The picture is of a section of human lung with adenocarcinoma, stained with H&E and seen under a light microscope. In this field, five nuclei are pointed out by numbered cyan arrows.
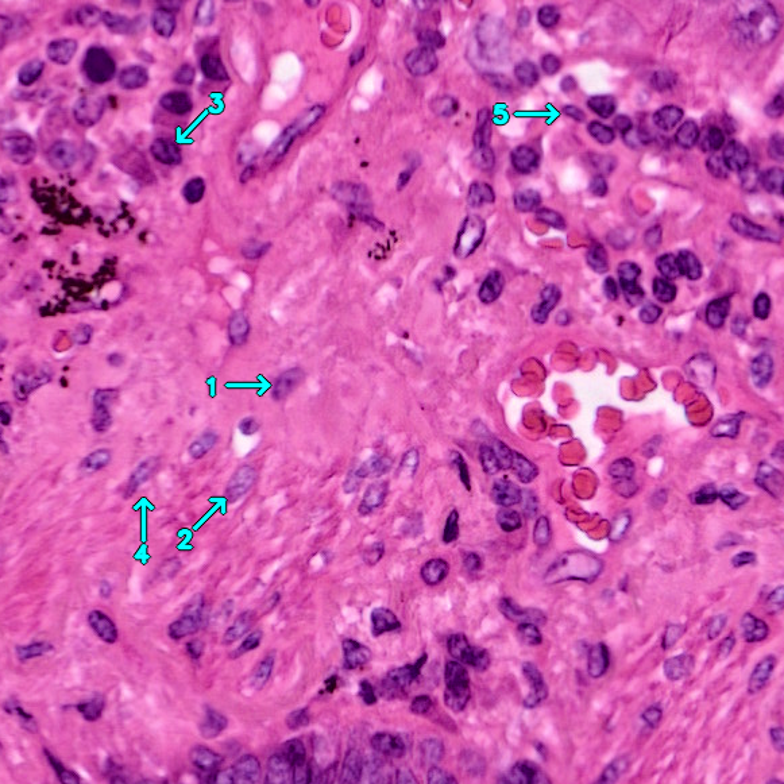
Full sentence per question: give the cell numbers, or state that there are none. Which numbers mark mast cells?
No mast cells are present among the numbered cells.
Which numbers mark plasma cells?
Of the marked cells, the one numbered 3 is a plasma cell and the rest are not.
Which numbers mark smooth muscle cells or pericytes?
In this section, the cells numbered 2 and 4 are smooth muscle cells or pericytes.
